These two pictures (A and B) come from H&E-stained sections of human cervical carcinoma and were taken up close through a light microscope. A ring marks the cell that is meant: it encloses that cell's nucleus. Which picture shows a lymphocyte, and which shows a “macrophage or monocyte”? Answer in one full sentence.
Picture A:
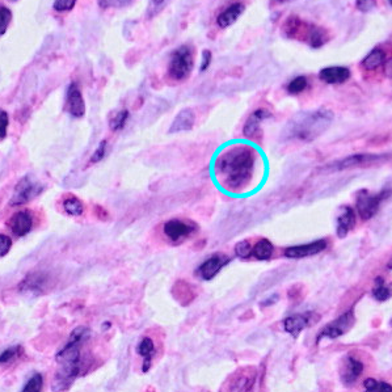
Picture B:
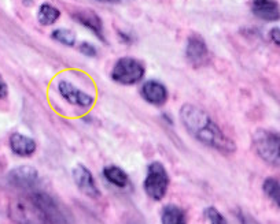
Picture A is of a “macrophage or monocyte”, and picture B is of a lymphocyte.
